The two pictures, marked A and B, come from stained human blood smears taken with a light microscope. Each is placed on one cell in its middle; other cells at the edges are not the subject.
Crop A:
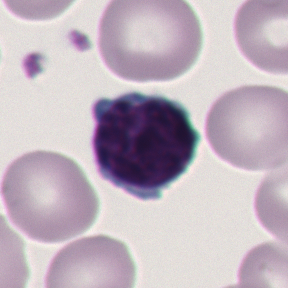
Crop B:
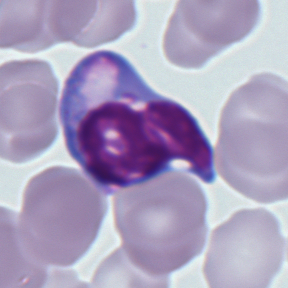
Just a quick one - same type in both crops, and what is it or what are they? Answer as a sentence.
Yes, typical lymphocytes are the central cells in the two crops.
